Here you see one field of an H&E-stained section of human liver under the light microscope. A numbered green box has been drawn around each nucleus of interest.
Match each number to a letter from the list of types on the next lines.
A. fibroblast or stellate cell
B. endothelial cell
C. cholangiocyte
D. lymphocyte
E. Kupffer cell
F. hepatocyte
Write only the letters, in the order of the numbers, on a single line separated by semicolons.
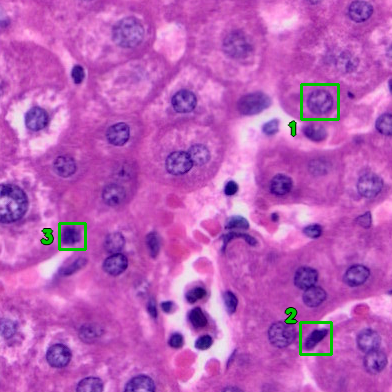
F; A; A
